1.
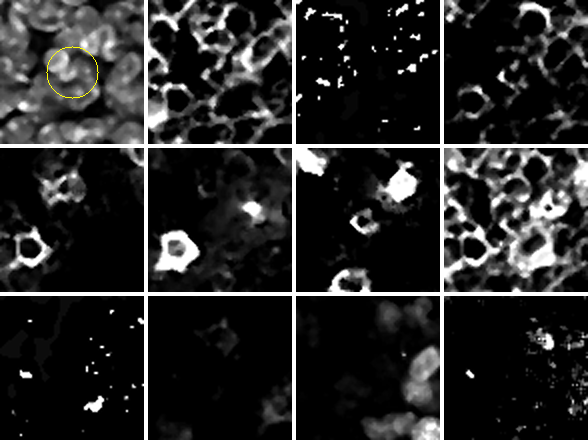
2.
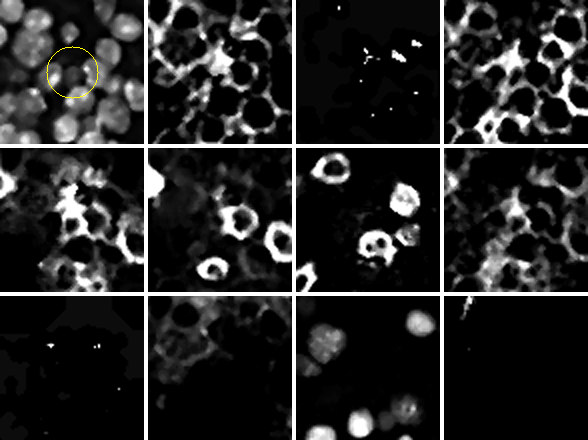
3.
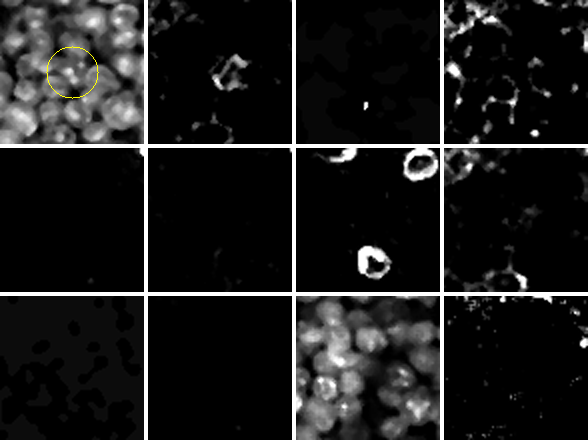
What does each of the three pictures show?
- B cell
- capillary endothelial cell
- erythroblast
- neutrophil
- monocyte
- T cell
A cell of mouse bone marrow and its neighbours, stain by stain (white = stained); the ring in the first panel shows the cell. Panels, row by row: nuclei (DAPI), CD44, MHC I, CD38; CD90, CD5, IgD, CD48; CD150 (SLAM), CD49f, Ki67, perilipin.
1: B cell
2: T cell
3: neutrophil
